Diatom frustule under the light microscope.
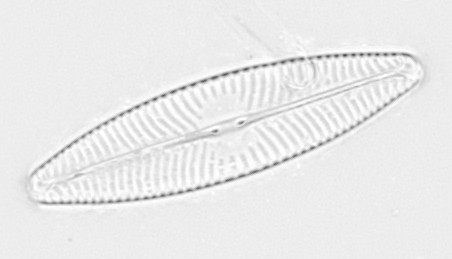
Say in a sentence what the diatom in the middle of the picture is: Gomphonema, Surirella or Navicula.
This is Navicula.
